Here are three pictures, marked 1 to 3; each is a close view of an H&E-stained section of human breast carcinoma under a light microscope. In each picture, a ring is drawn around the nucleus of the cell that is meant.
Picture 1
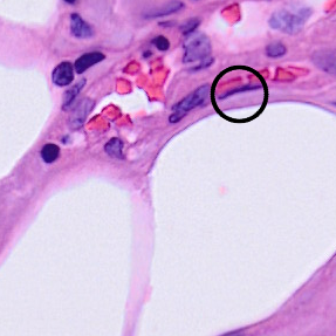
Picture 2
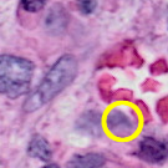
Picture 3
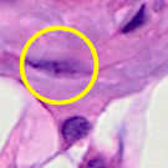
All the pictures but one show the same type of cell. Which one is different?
3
